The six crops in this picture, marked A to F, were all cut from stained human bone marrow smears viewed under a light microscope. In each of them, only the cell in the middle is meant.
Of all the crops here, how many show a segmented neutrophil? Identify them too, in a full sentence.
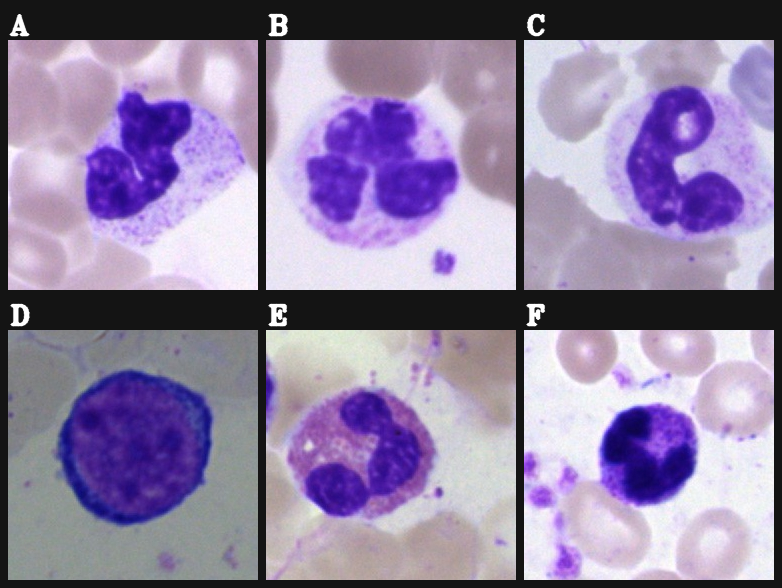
Crops A, B and F are the three that show segmented neutrophils.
